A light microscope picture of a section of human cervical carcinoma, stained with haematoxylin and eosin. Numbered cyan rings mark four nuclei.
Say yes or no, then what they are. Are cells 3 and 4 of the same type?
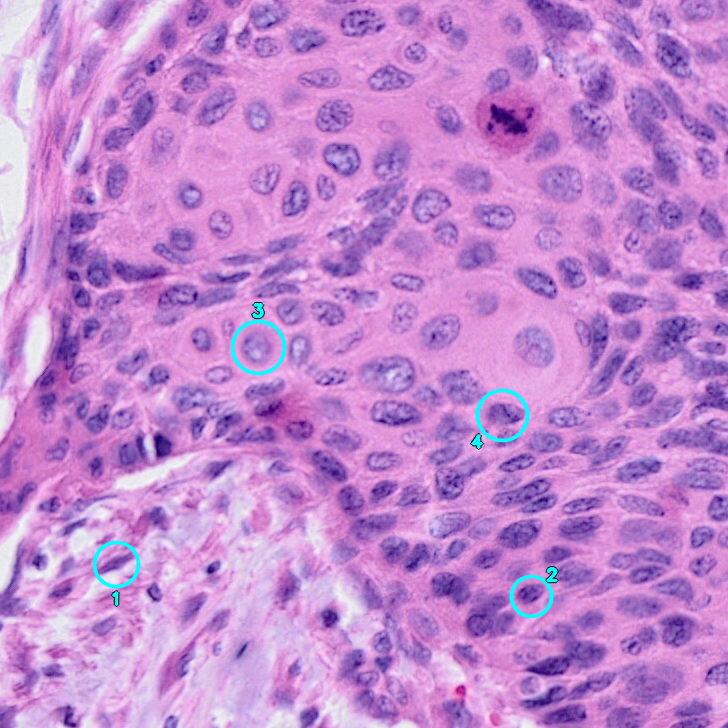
Yes, cells 3 and 4 are both termed squamous carcinoma cells.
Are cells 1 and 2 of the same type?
No, cell 2 is a squamous carcinoma cell, and cell 1 is a fibroblast.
